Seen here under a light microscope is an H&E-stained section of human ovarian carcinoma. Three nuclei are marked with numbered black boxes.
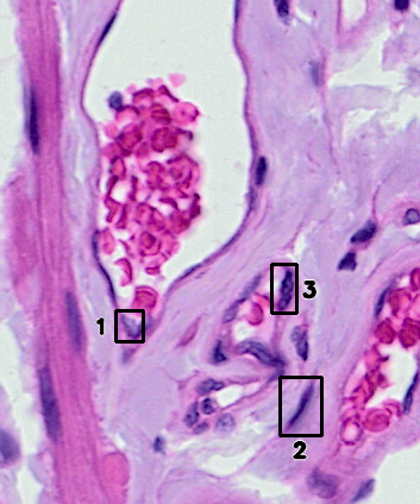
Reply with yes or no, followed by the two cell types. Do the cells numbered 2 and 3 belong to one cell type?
No, the correct reading has cell 2 as a fibroblast and cell 3 as an endothelial cell.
